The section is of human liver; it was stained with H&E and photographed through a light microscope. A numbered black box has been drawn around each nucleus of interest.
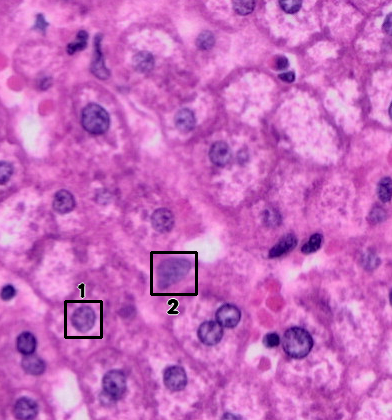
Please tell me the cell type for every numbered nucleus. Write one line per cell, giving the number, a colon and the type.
1: hepatocyte
2: Kupffer cell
